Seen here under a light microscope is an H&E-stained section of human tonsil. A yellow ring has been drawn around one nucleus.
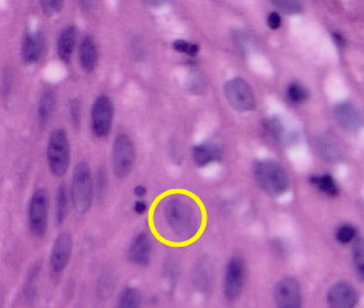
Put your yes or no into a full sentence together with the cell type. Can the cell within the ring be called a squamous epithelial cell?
Yes, the cell within the ring corresponds to a squamous epithelial cell in this tissue.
